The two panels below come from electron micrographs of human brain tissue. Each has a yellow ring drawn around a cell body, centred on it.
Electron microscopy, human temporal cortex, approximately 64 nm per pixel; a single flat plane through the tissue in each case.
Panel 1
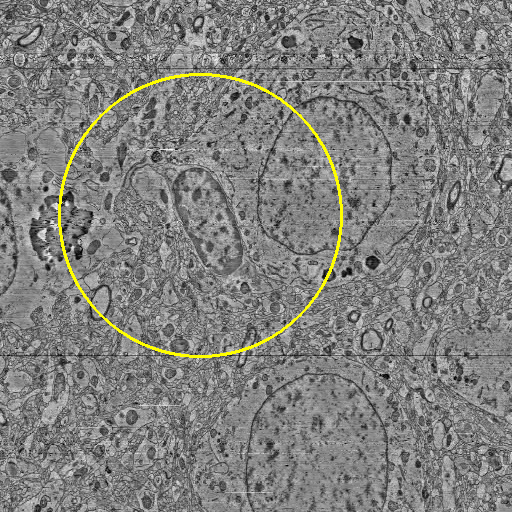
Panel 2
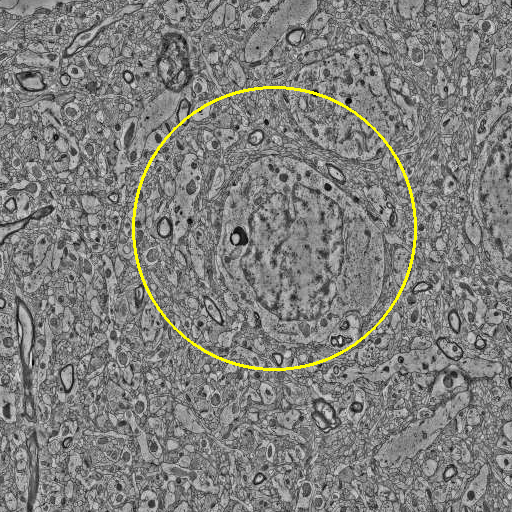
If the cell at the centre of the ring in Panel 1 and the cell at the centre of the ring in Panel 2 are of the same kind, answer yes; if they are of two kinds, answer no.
no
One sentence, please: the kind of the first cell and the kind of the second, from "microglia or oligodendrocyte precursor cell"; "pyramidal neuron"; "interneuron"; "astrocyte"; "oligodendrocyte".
The ring in the first picture surrounds a microglial cell or oligodendrocyte precursor cell, and the ring in the second surrounds an interneuron.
